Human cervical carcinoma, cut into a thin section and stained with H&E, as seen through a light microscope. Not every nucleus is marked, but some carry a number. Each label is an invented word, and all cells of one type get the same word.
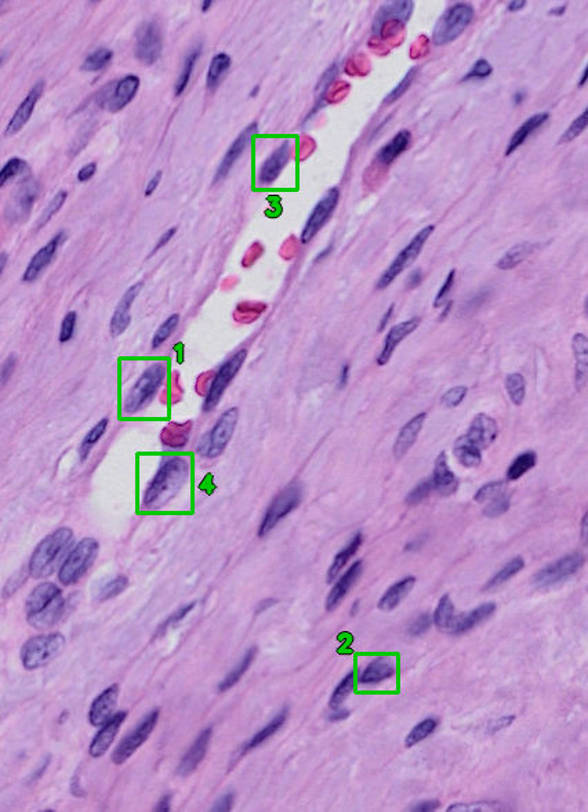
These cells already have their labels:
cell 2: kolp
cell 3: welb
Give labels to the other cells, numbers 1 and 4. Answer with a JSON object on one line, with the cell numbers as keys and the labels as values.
{"1": "welb", "4": "welb"}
